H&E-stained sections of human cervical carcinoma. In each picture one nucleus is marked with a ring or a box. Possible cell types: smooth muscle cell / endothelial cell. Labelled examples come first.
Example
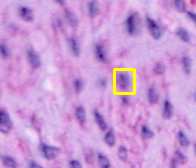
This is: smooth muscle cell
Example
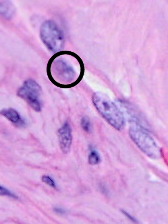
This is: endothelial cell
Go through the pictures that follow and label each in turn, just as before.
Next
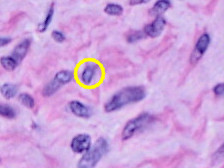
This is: smooth muscle cell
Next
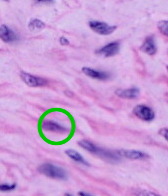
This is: smooth muscle cell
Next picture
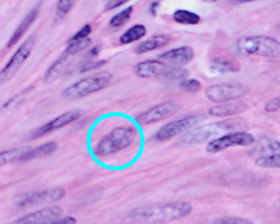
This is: smooth muscle cell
